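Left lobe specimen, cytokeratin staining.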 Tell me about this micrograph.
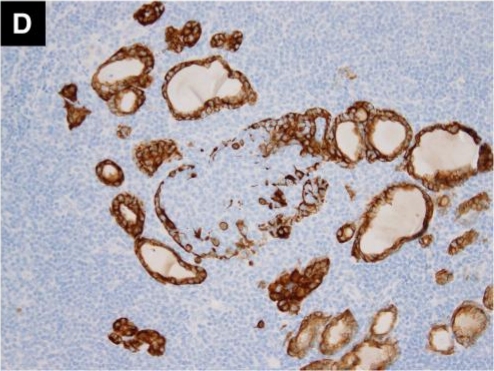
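Brown-stained epithelial cells line a cluster of thyroid follicles that sit within a pale blue sheet of small unstained lymphoid cells with round nuclei. Most follicles keep a ring of brown epithelium around a pale lumen. At the centre, one follicle is disrupted: its brown lining is fragmented and the space is filled with small blue lymphoid cells that have invaded and broken up the epithelium. This infiltration and destruction of epithelial structures by lymphoid cells is what is called a lymphoepithelial lesion.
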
